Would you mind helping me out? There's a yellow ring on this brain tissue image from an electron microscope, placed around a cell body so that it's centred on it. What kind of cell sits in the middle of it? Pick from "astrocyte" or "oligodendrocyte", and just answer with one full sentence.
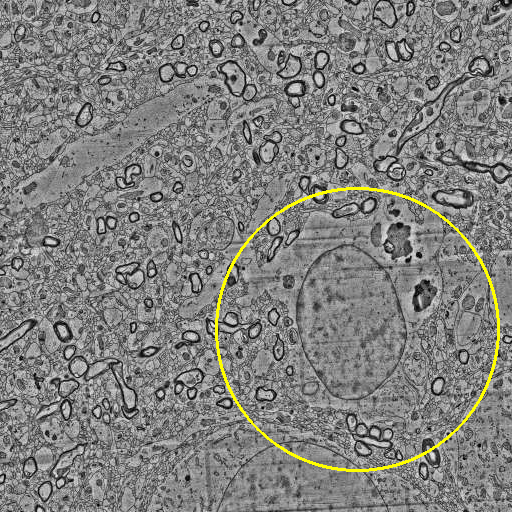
What sits in the middle of that yellow ring is an astrocyte, from your choices.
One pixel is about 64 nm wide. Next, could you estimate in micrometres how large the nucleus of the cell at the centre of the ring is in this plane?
In this plane, the nucleus is roughly 10 by 7 micrometres.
